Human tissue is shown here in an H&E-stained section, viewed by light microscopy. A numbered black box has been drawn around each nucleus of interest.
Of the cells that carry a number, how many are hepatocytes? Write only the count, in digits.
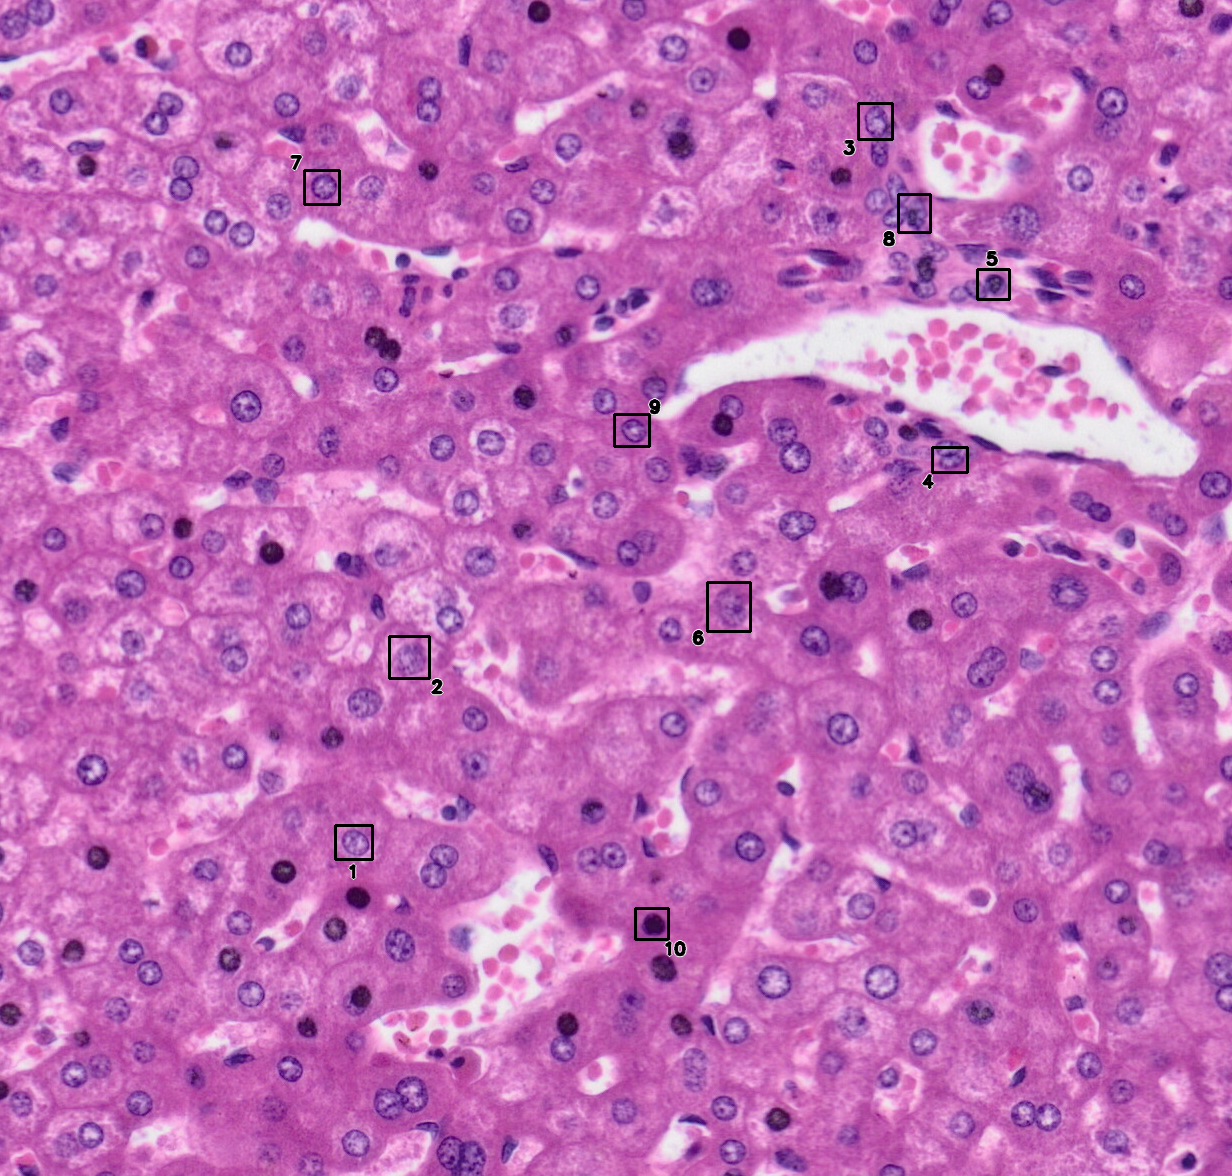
6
